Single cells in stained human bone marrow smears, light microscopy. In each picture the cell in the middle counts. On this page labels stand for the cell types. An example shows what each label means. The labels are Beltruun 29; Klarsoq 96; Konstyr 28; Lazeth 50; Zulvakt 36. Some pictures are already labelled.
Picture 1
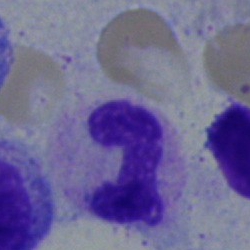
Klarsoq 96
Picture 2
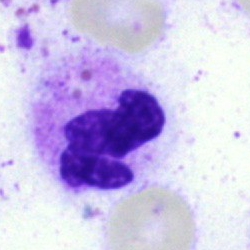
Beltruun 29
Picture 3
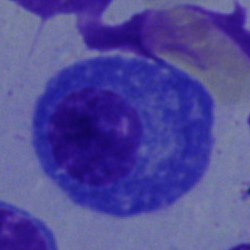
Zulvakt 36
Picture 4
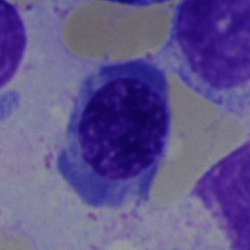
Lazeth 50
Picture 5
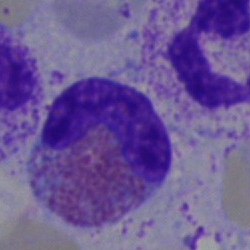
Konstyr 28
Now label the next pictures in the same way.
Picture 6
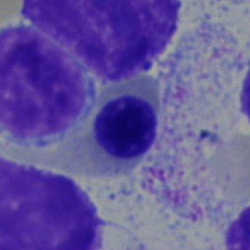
Lazeth 50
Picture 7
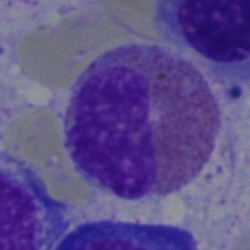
Konstyr 28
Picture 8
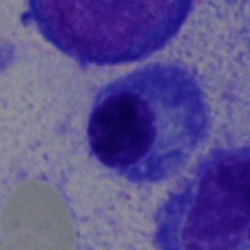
Zulvakt 36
